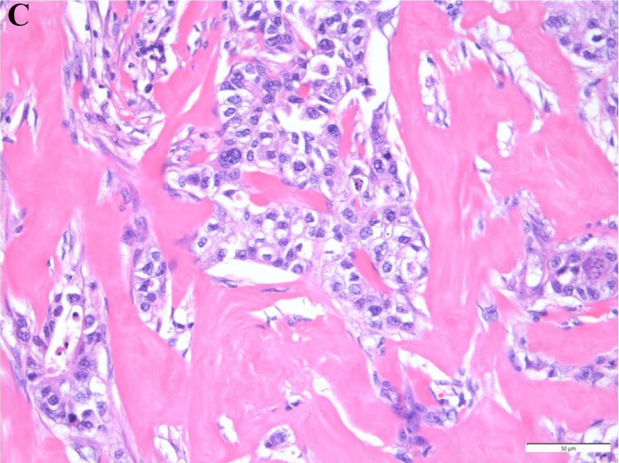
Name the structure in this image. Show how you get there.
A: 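Broad, glassy, bright pink bands fill much of the field. The pink bands contain almost no nuclei. Clusters of tumor cells lie between the bands. On this evidence: keloid-like collagen.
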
